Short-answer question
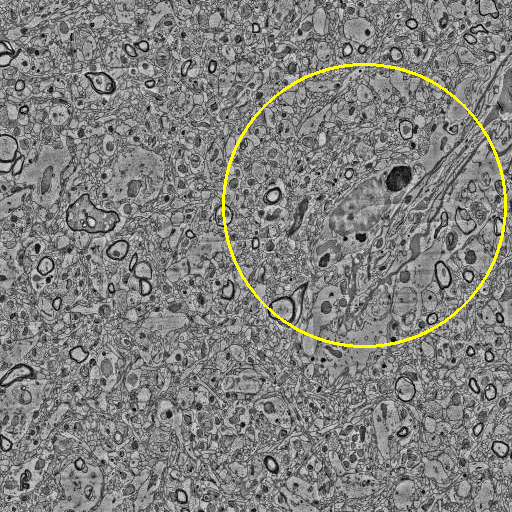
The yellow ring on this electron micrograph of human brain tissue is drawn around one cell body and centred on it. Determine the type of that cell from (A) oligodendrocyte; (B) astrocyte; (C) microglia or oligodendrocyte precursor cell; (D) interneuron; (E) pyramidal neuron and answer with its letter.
A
